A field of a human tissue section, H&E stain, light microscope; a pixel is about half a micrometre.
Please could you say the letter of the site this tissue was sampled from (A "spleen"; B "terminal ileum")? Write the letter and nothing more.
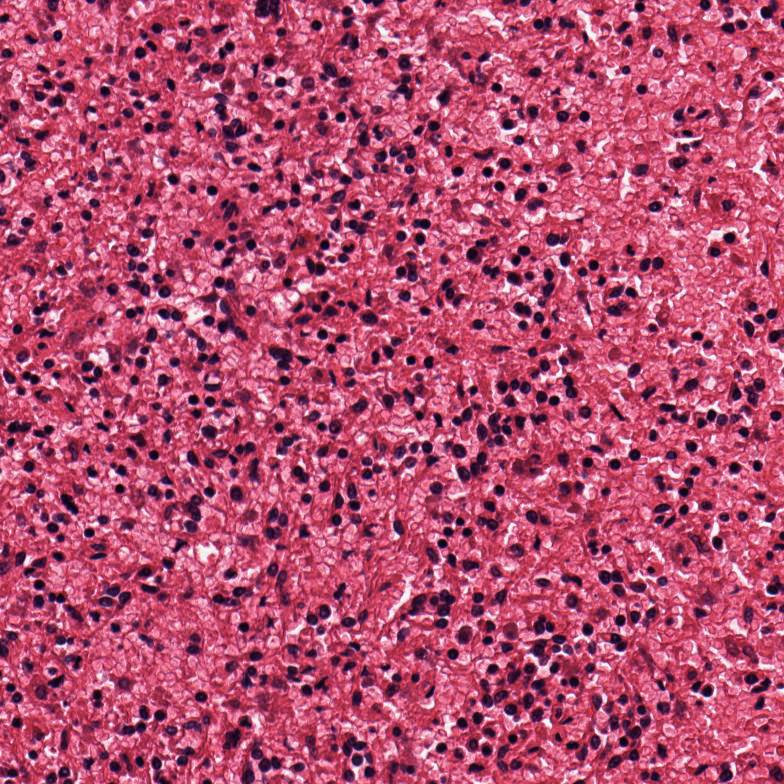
A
